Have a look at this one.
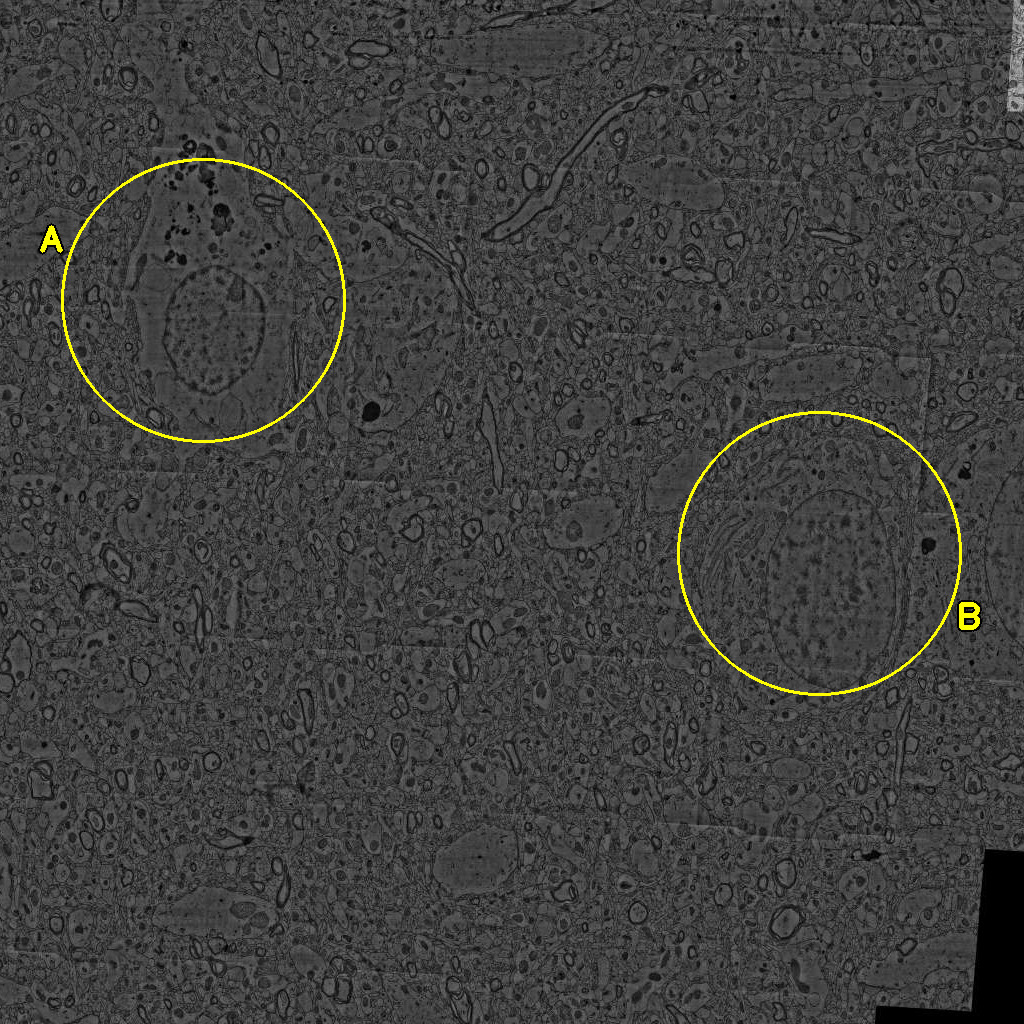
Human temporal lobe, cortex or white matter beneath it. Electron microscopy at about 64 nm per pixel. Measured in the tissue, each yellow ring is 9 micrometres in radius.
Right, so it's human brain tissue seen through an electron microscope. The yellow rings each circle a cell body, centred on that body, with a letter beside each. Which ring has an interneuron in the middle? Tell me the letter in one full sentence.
That kind of cell is sitting in the middle of ring B there.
